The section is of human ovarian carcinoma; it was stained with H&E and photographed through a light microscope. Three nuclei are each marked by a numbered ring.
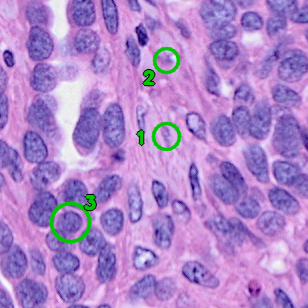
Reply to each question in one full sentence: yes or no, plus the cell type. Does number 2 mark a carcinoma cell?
No, the cell indicated by 2 is a fibroblast instead of a carcinoma cell.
